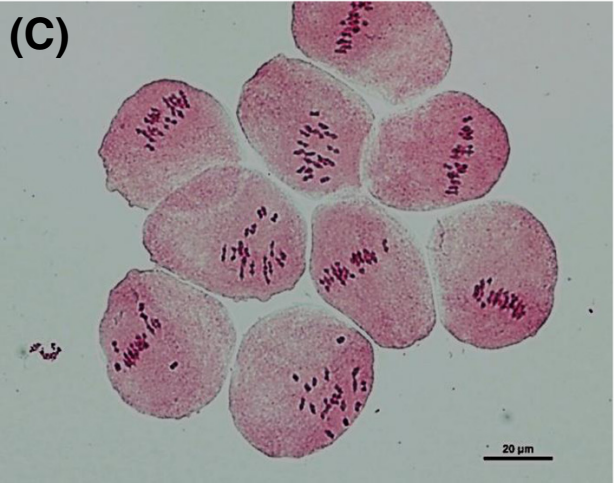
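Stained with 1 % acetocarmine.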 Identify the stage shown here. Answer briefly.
Metaphase I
